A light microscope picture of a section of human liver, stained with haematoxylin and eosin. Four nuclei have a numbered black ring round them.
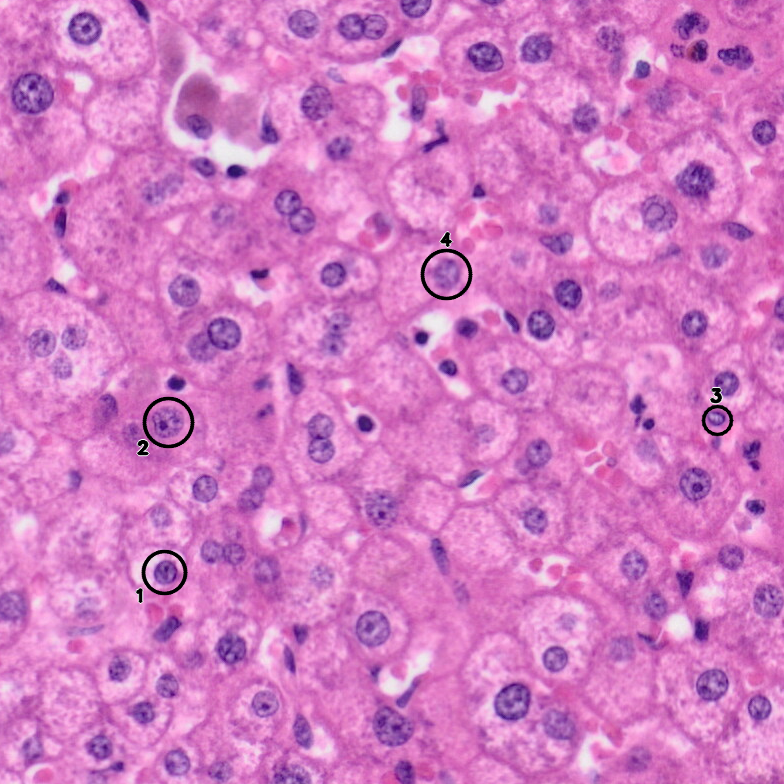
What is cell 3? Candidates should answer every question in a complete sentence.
The numbered cell 3 in this field is a Kupffer cell.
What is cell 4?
The cell numbered 4 represents a hepatocyte.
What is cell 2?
The cell that bears the number 2 is a hepatocyte.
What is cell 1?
Recognised here as a hepatocyte is the cell numbered 1.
